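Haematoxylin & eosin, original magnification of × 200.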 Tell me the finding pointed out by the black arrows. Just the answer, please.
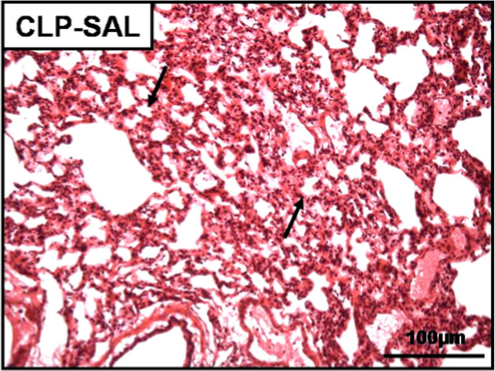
Alveolar collapse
